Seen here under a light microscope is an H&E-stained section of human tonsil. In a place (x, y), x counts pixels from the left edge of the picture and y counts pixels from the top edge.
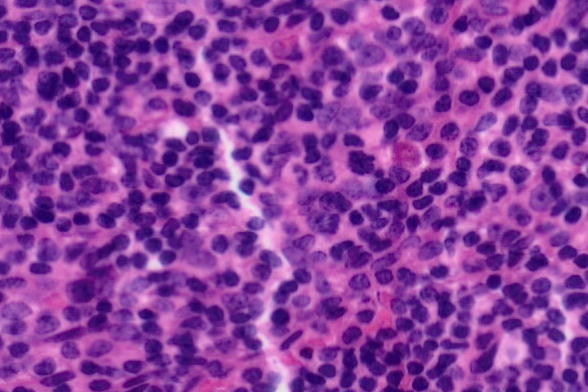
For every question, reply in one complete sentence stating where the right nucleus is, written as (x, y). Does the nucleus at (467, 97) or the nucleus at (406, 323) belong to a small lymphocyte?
The one nucleus of the two that belongs to a small lymphocyte is at (406, 323).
